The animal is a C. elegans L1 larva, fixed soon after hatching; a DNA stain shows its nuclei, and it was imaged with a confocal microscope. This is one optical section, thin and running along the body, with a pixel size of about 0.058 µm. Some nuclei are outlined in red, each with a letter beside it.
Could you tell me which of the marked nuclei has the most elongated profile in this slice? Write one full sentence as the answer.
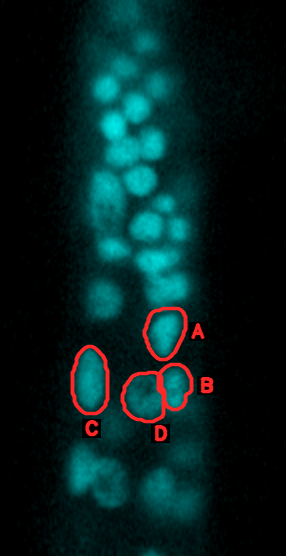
The most elongated nucleus is C.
